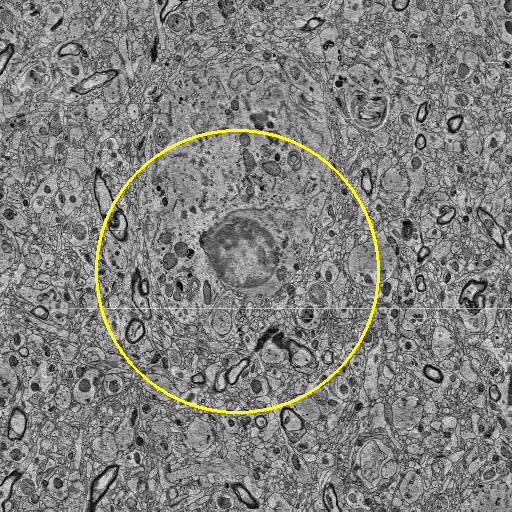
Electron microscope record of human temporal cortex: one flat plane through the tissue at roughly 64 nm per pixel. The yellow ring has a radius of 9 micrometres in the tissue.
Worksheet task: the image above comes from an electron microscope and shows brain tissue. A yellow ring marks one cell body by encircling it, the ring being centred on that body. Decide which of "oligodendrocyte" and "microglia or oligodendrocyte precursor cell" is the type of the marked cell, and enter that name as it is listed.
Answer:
oligodendrocyte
